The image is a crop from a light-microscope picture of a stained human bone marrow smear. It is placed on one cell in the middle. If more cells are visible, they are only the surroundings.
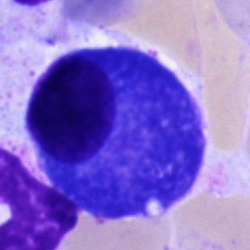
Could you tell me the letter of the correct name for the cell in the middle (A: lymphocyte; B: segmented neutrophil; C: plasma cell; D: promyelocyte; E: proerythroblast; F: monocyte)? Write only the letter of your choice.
C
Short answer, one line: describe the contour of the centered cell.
Its periphery is smooth, and no projections arise from it.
